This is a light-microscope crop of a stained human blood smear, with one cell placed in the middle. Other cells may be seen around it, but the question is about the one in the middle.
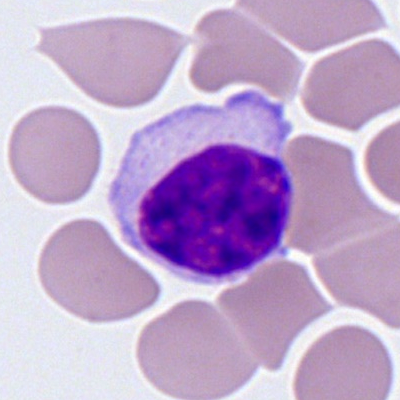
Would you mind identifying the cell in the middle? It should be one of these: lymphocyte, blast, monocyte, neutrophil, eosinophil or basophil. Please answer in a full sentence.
The target cell in the middle of the crop is a lymphocyte.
